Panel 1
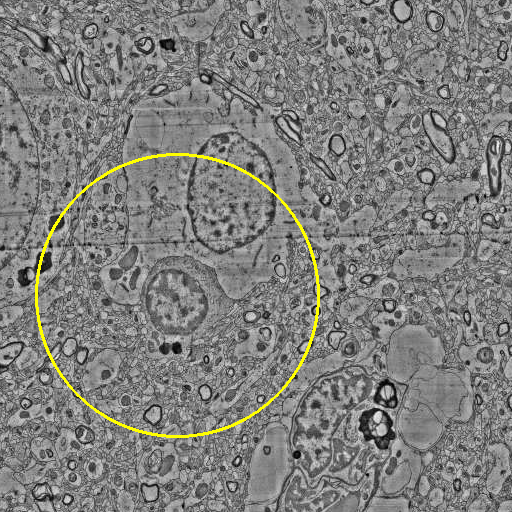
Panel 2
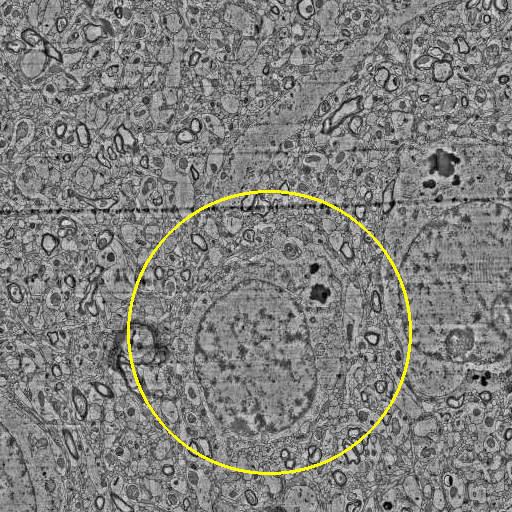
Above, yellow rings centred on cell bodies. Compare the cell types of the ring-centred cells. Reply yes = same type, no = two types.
no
